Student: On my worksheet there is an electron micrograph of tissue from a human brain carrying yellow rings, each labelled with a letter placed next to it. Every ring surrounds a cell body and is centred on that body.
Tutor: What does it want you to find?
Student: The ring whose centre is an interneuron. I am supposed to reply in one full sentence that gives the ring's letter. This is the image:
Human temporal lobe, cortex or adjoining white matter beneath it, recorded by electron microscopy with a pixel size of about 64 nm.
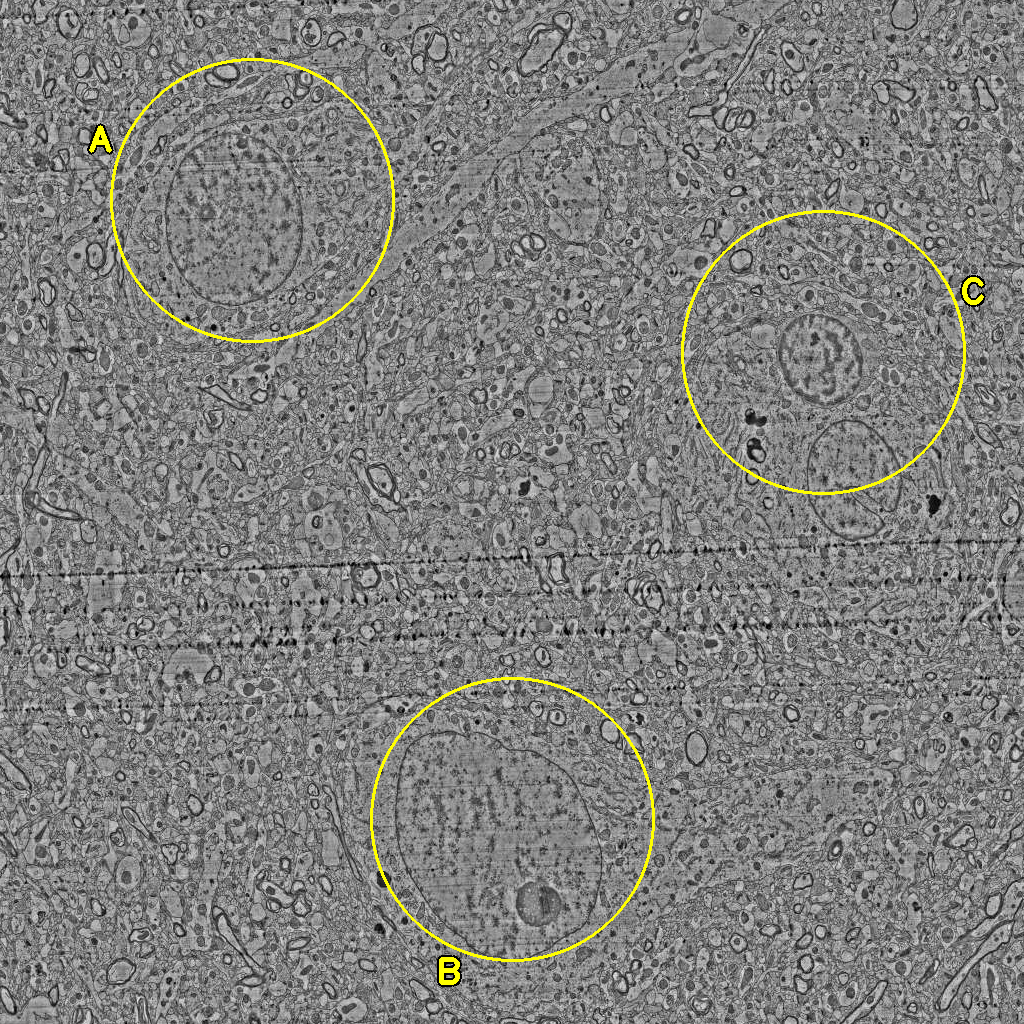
The cell asked for, shown in the picture, lies at the centre of ring A.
